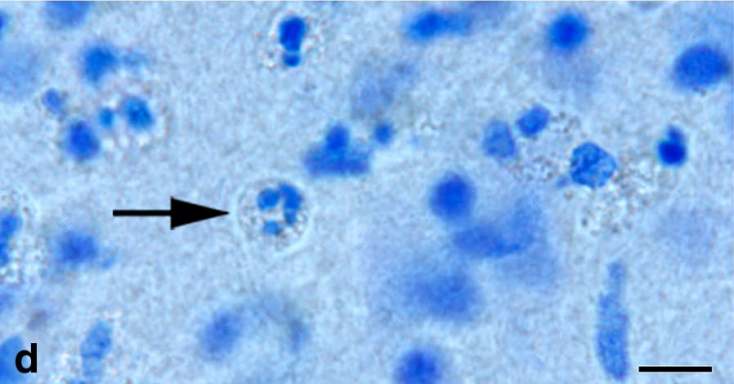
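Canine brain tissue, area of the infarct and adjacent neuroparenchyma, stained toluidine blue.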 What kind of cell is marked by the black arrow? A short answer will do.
Neutrophil granulocyte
